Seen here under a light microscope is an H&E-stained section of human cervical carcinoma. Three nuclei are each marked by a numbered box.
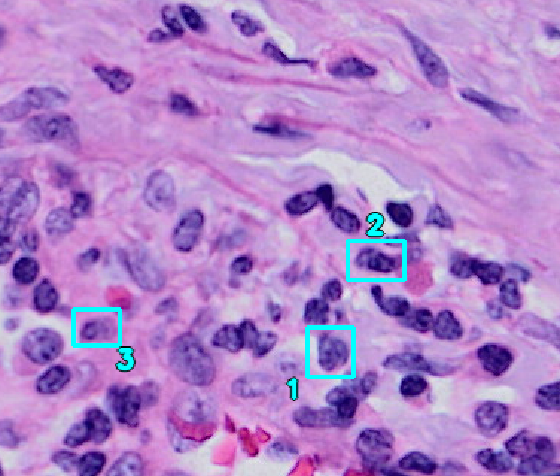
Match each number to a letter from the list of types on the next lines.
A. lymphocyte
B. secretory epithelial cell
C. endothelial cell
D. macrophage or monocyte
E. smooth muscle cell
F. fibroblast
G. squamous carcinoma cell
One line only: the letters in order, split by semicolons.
A; A; C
